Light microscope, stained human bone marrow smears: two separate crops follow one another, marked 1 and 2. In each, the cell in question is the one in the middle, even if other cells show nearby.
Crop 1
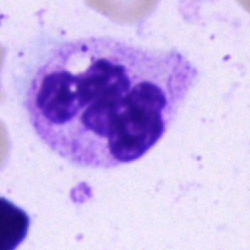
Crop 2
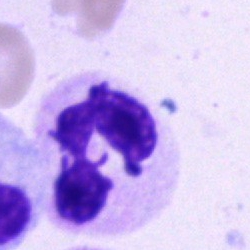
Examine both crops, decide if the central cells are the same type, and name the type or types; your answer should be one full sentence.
Yes, in both crops, segmented neutrophils are the cells at the middle.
